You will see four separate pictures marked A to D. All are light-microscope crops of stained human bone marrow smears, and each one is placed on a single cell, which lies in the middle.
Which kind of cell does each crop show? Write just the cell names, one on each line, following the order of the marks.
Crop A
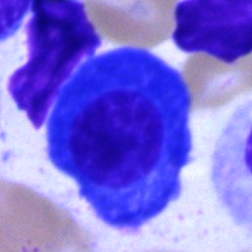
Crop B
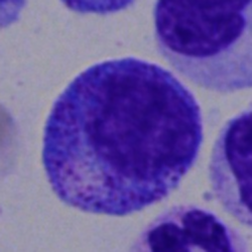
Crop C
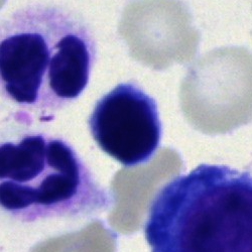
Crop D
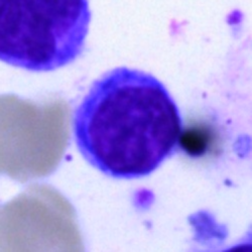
plasma cell
promyelocyte
lymphocyte
lymphocyte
